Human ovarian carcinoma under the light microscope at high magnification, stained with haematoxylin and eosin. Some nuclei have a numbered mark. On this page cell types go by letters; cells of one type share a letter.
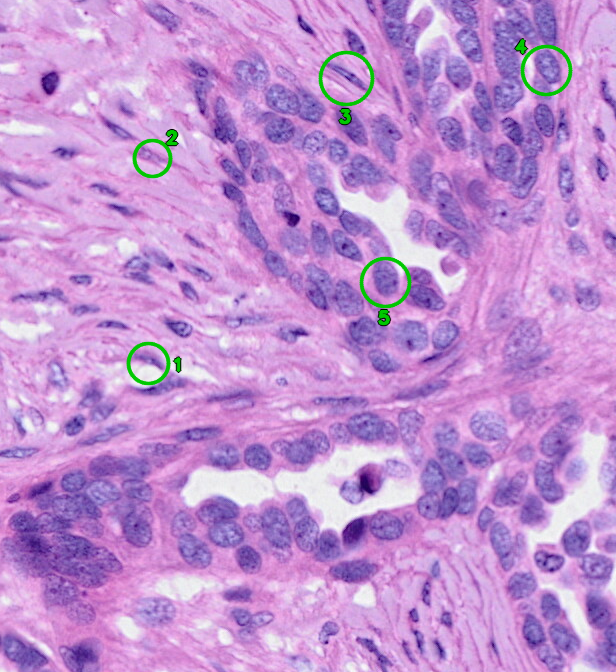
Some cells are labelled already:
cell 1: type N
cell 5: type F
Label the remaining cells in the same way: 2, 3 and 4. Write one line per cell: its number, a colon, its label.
2: type N
3: type N
4: type F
